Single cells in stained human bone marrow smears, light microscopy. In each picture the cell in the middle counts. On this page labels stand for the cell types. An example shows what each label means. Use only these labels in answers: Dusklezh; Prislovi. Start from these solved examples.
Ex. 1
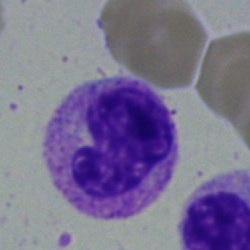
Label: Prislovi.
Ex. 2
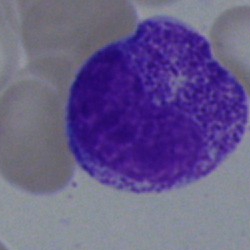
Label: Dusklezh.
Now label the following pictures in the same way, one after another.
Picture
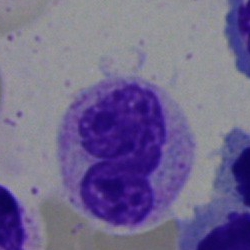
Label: Prislovi.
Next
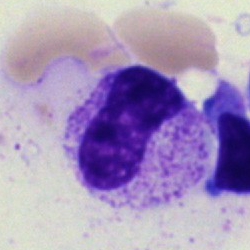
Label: Prislovi.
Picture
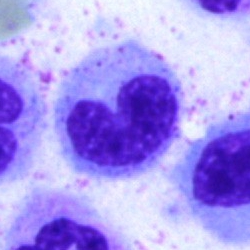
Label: Prislovi.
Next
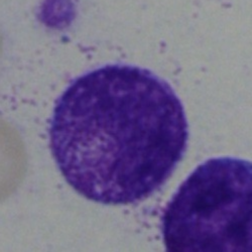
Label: Dusklezh.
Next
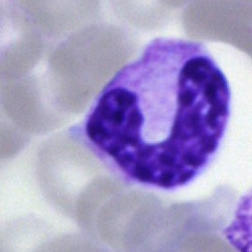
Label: Prislovi.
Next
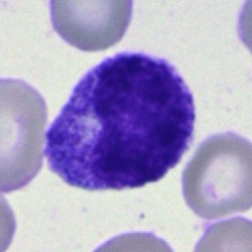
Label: Dusklezh.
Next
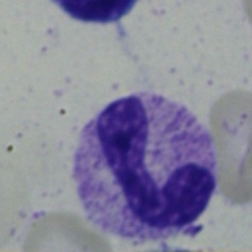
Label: Prislovi.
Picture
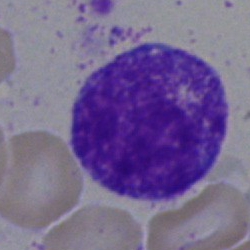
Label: Dusklezh.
